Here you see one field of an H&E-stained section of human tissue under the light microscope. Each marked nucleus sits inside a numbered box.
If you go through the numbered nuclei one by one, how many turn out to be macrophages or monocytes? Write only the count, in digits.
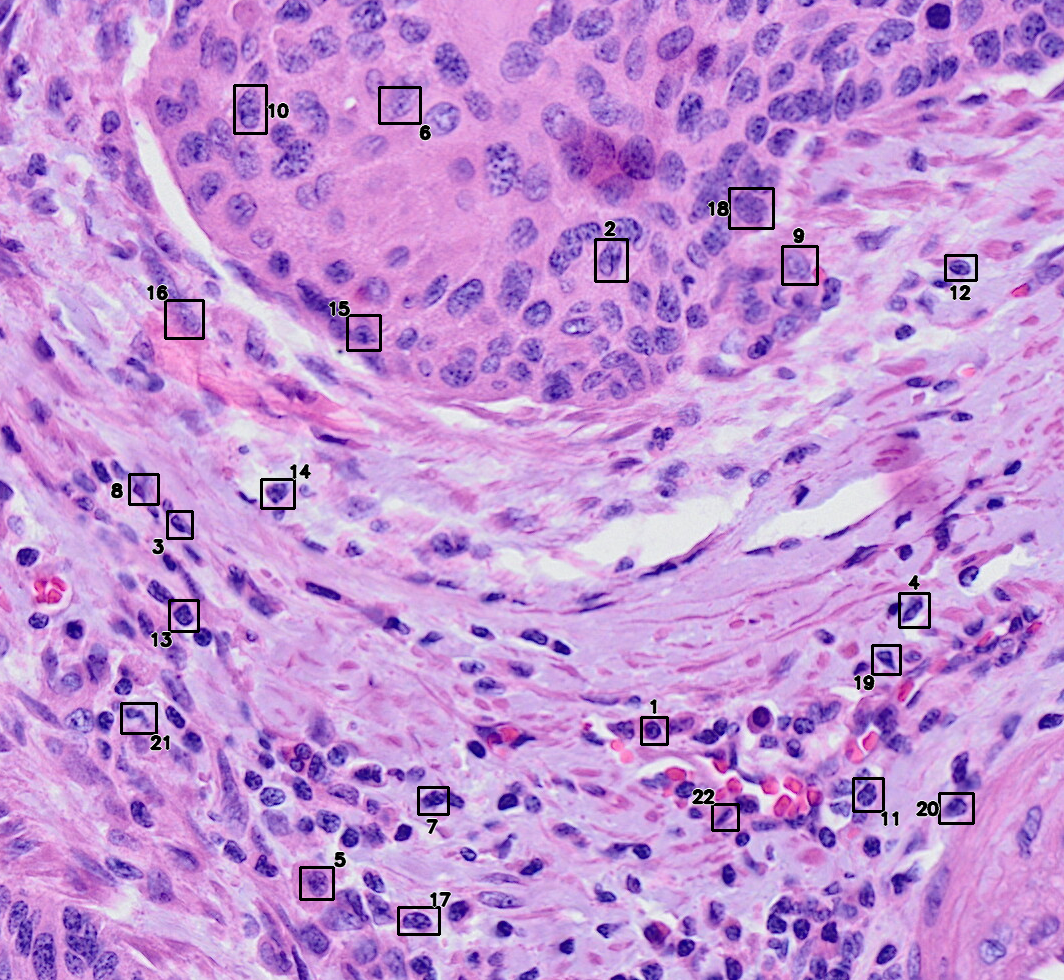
1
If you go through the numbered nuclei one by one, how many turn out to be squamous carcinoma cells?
5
